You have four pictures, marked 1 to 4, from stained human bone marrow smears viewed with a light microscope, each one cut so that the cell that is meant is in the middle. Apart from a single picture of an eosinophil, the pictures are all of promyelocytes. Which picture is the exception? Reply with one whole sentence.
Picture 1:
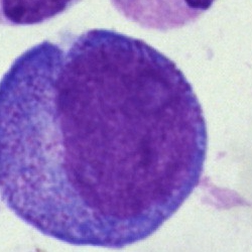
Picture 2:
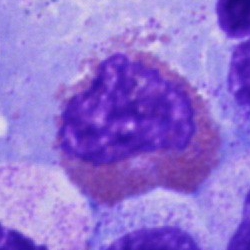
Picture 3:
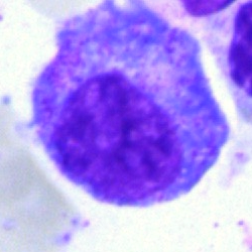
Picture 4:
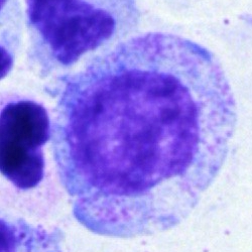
It is picture 2 that shows the eosinophil.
